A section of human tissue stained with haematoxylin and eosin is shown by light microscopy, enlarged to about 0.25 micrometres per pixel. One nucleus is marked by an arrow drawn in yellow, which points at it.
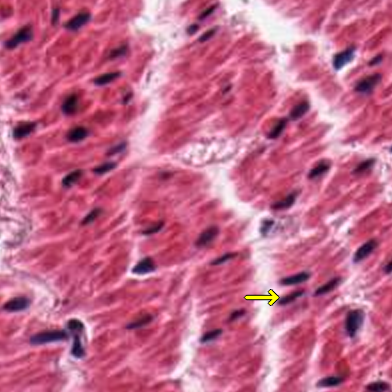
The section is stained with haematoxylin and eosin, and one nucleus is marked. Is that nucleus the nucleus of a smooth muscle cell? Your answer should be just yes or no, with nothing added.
yes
